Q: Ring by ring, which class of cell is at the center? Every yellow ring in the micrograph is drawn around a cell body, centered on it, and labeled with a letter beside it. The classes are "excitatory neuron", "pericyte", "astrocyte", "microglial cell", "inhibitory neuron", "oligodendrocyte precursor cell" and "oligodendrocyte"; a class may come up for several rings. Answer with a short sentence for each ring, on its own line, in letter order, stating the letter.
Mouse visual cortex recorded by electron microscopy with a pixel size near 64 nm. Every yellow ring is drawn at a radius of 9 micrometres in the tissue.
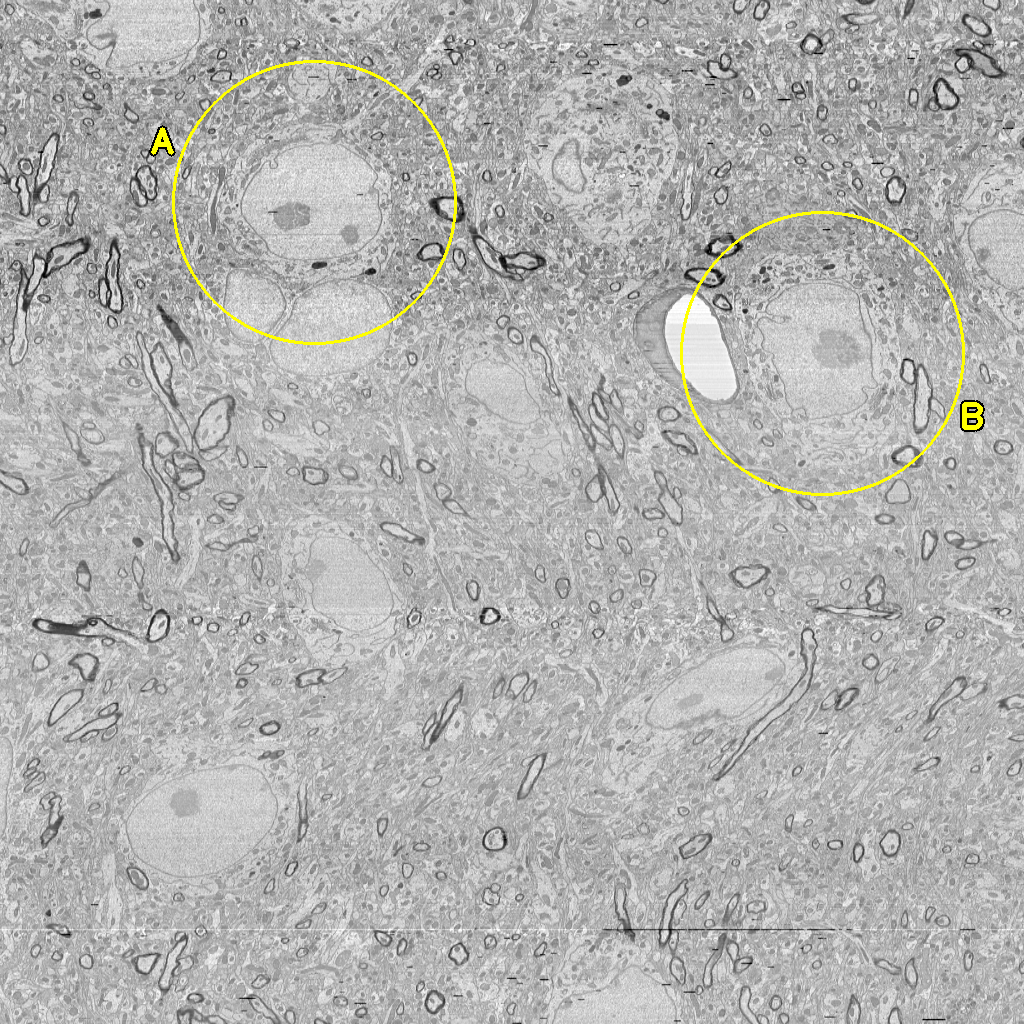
Ring A holds an excitatory neuron at its center.
Ring B holds an inhibitory neuron at its center.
